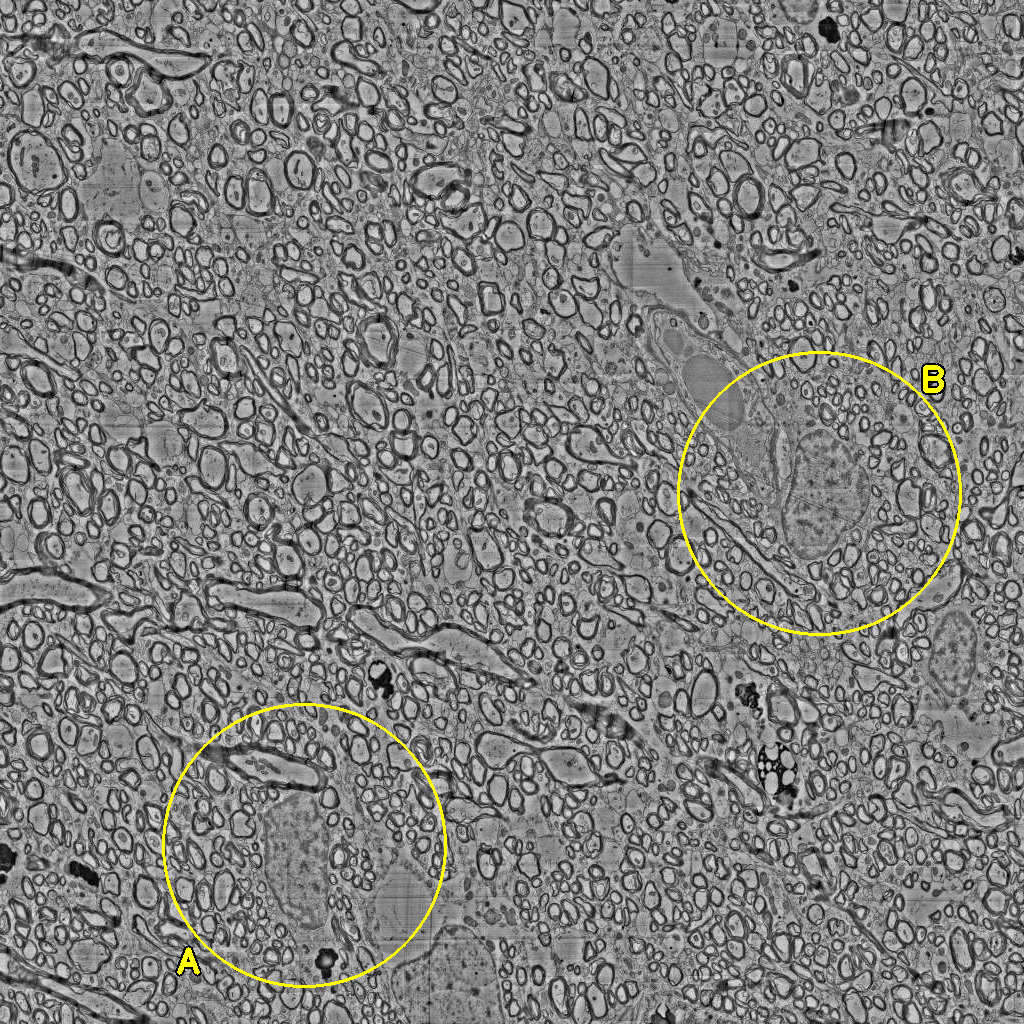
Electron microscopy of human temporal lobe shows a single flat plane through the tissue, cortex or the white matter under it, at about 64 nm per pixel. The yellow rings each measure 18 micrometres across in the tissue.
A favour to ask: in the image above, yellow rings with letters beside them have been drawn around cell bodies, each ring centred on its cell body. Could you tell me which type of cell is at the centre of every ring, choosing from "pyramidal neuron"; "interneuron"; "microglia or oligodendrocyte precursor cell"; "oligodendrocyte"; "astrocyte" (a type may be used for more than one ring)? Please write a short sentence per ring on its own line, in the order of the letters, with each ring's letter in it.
Ring A holds an oligodendrocyte at its centre.
Ring B holds an oligodendrocyte at its centre.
